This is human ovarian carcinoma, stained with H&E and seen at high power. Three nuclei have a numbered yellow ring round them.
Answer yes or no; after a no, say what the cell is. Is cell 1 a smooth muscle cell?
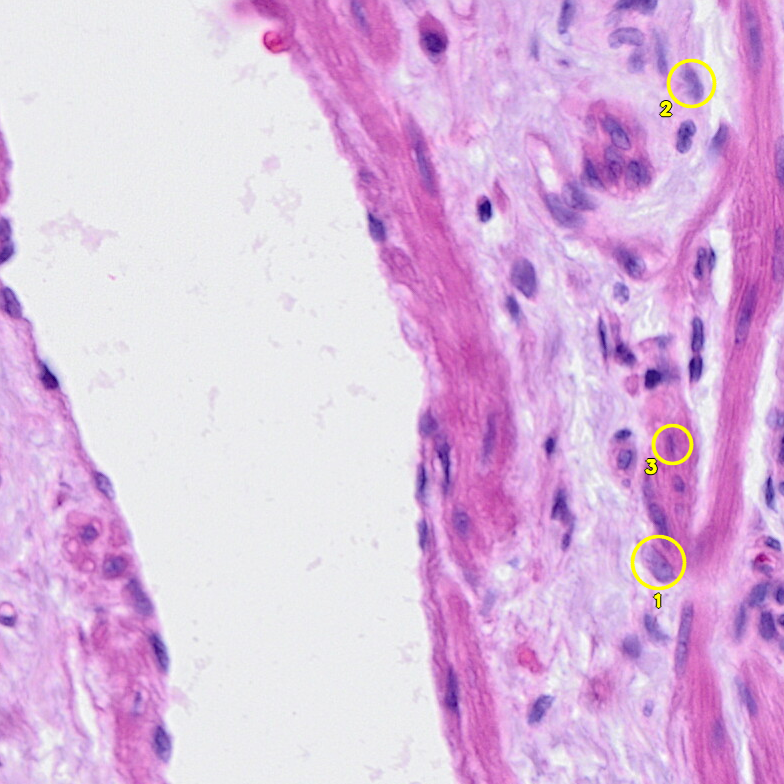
Yes.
